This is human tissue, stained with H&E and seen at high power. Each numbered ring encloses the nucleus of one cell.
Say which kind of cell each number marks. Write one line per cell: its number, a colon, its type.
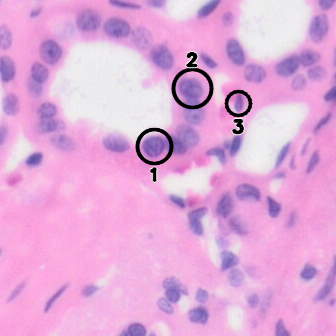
1: collecting duct cell
2: collecting duct cell
3: endothelial cell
